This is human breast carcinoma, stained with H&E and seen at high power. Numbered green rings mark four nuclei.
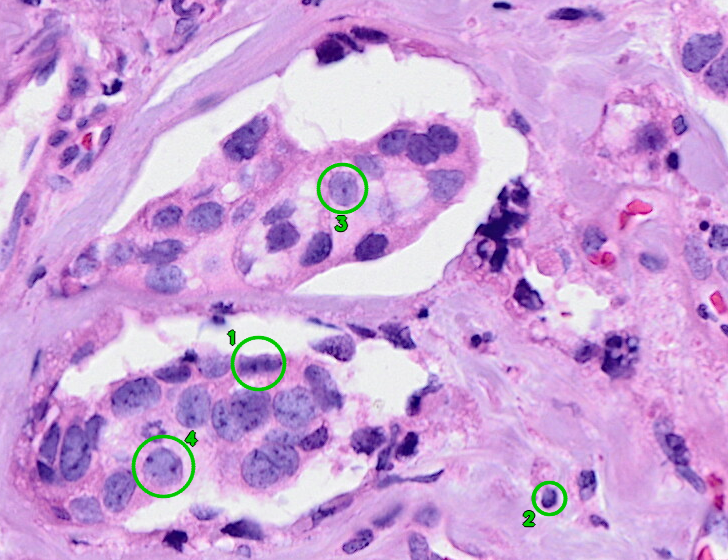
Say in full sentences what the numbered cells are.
Cell 1 is a carcinoma cell, cell 2 is a lymphocyte, cell 3 is a carcinoma cell and cell 4 is a carcinoma cell.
